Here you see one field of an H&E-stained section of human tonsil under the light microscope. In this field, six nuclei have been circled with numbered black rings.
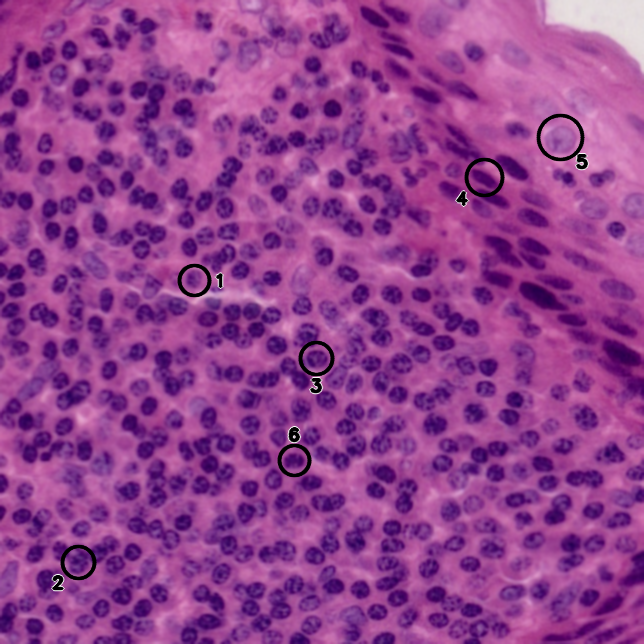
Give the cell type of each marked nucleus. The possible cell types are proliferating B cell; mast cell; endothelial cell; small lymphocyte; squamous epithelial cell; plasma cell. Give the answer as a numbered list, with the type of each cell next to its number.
1. plasma cell
2. plasma cell
3. plasma cell
4. squamous epithelial cell
5. squamous epithelial cell
6. plasma cell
